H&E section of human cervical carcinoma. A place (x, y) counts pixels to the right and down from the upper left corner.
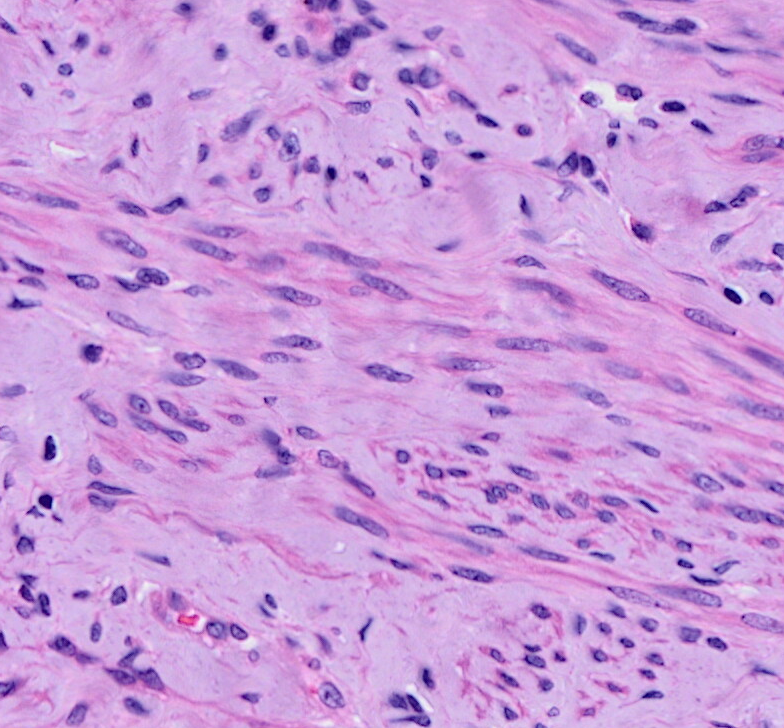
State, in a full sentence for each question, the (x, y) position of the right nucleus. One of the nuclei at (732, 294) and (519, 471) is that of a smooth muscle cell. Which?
Between the two nuclei, the one sitting at (519, 471) belongs to a smooth muscle cell.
